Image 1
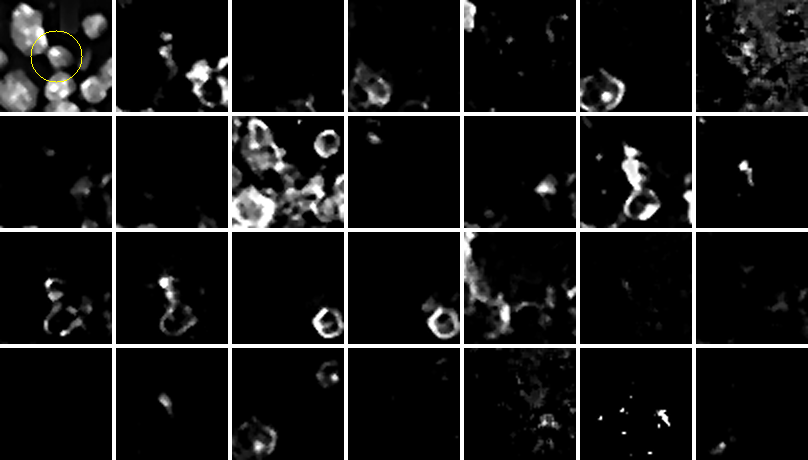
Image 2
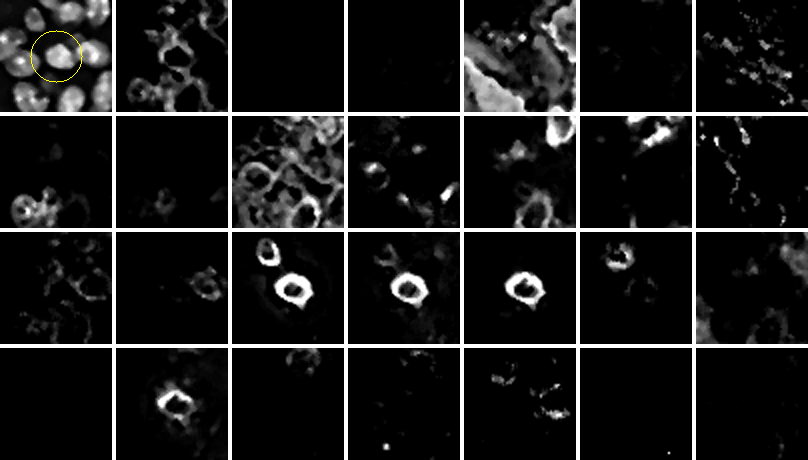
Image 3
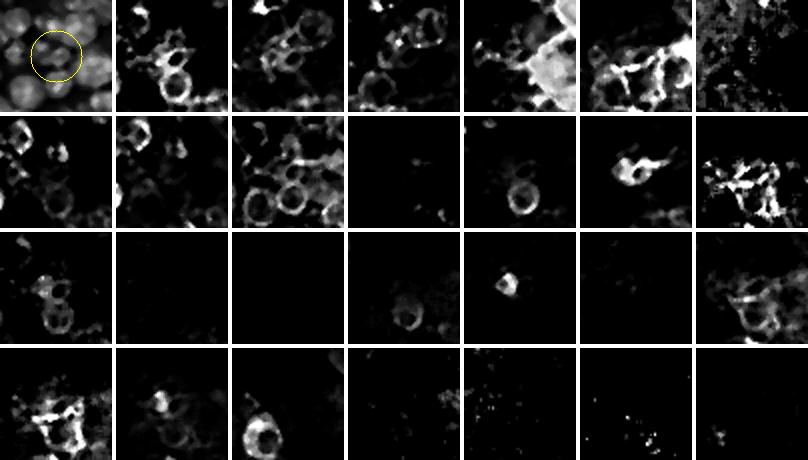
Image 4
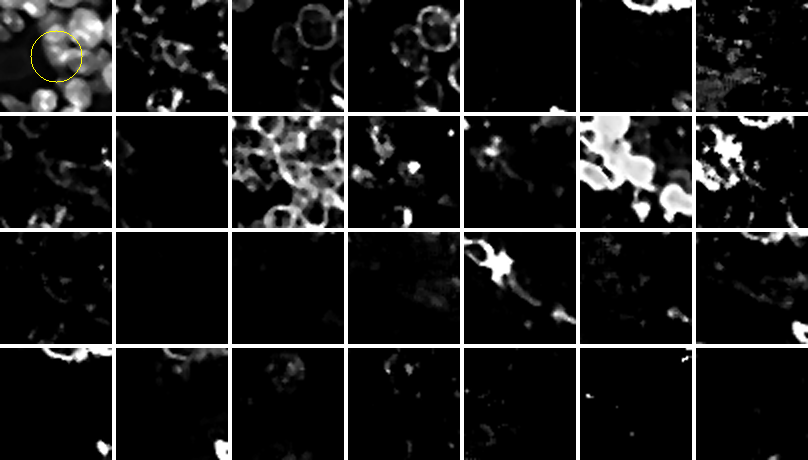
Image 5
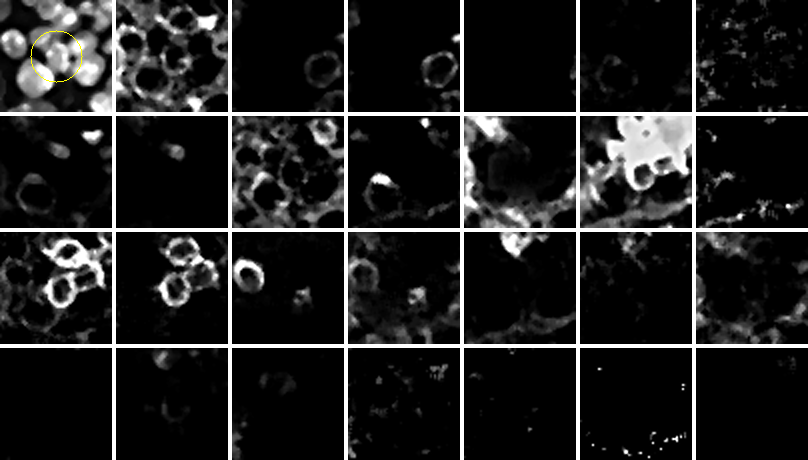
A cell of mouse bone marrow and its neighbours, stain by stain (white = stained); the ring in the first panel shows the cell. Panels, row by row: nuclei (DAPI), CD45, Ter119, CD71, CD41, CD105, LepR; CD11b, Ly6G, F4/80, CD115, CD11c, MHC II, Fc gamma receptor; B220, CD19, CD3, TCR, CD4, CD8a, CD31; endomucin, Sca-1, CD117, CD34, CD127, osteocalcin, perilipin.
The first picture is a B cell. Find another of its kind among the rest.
Picture 5.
